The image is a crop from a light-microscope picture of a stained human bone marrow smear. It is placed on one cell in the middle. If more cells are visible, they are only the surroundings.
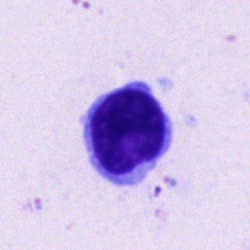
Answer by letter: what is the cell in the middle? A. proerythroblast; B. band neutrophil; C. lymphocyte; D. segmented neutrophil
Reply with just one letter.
C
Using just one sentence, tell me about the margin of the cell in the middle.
The perimeter of the cell is irregular, with ragged sections or outward projections.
